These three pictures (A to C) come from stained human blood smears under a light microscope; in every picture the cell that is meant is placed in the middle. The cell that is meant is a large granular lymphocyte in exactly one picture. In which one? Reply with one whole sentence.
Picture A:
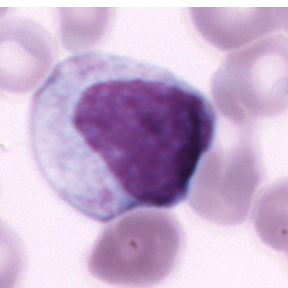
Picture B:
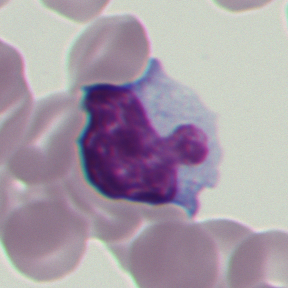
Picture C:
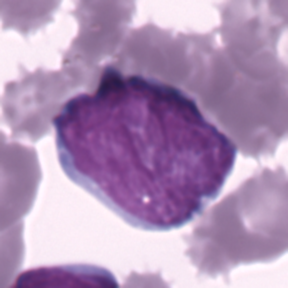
Picture A shows the large granular lymphocyte.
